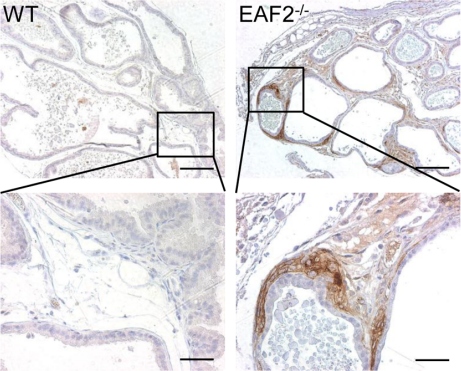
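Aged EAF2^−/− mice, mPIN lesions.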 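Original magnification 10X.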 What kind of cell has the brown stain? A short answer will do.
Prostate stromal cells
